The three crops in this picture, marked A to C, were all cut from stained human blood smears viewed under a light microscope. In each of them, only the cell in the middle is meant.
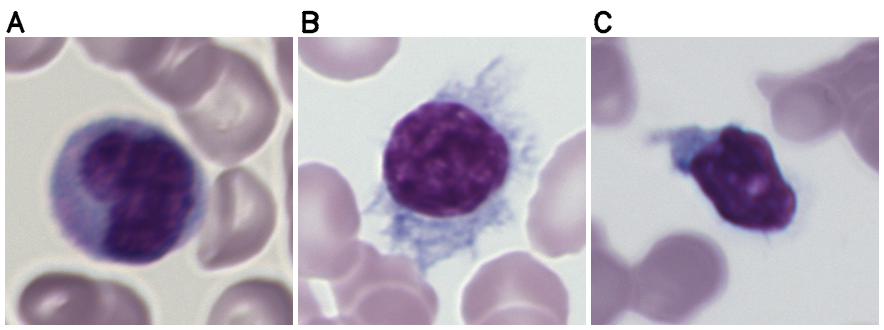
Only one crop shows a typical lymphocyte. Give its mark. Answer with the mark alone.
C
